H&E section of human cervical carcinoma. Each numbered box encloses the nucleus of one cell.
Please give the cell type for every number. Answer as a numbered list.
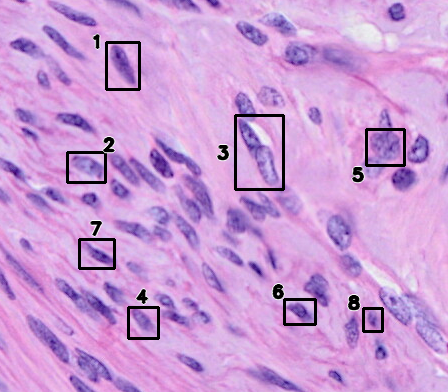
1. fibroblast
2. smooth muscle cell
3. endothelial cell
4. smooth muscle cell
5. endothelial cell
6. smooth muscle cell
7. smooth muscle cell
8. smooth muscle cell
